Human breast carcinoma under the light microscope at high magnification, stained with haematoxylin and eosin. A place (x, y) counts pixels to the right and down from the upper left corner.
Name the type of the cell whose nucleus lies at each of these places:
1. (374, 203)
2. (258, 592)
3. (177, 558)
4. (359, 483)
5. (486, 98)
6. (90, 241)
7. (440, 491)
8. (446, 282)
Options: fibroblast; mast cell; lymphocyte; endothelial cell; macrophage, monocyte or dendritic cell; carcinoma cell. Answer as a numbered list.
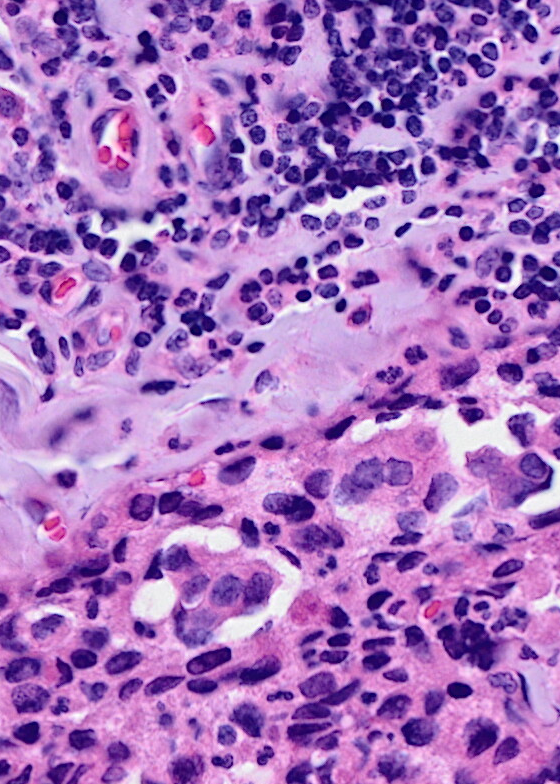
1. lymphocyte
2. carcinoma cell
3. carcinoma cell
4. carcinoma cell
5. lymphocyte
6. lymphocyte
7. carcinoma cell
8. lymphocyte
